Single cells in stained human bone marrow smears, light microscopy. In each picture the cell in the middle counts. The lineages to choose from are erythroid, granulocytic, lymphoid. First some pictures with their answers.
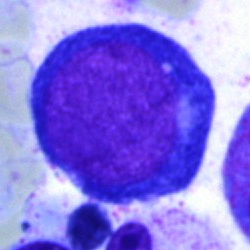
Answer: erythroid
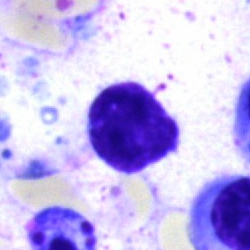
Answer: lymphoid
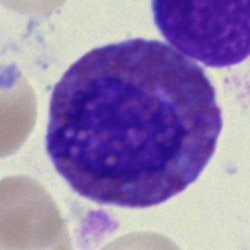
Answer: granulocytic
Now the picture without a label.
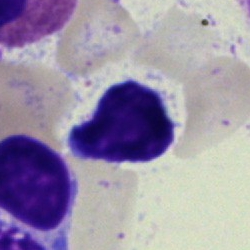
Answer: lymphoid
